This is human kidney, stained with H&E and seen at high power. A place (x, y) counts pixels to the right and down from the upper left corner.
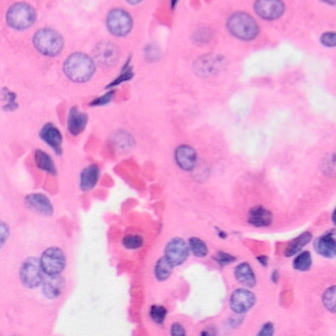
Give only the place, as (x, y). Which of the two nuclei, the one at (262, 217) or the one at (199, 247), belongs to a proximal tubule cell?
(262, 217)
